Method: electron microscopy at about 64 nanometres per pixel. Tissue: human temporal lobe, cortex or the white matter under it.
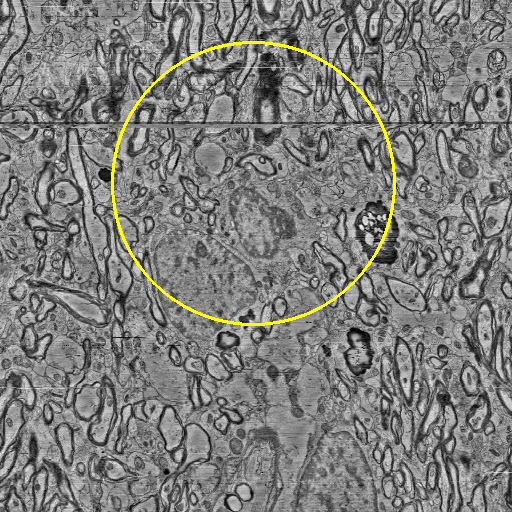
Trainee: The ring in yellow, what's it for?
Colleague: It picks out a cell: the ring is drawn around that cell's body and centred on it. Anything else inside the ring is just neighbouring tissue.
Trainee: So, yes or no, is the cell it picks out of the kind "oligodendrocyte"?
yes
